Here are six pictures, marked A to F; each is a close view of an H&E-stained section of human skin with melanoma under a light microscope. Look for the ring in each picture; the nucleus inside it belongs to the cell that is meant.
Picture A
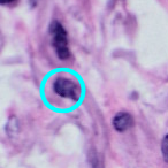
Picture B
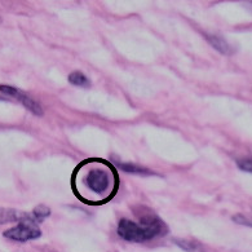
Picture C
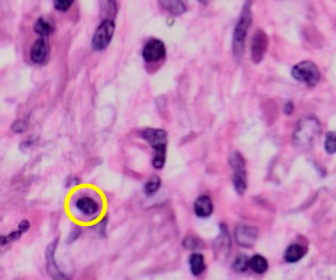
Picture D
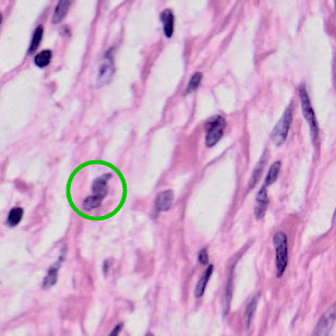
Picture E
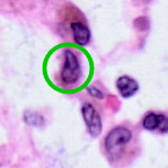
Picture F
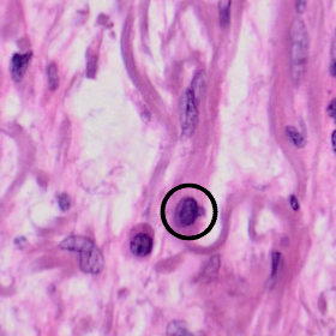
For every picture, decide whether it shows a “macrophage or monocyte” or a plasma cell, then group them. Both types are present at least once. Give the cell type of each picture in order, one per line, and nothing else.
plasma cell
plasma cell
plasma cell
macrophage or monocyte
macrophage or monocyte
plasma cell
